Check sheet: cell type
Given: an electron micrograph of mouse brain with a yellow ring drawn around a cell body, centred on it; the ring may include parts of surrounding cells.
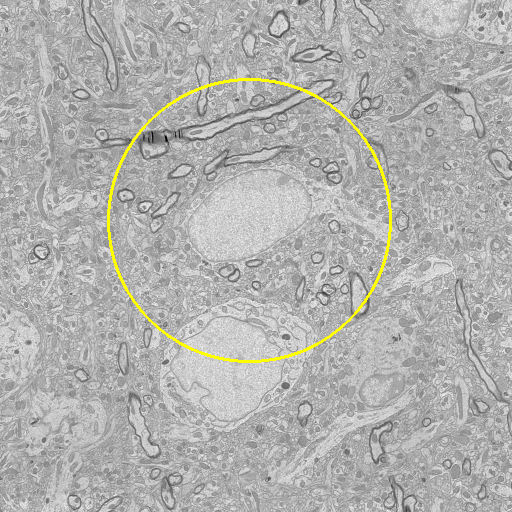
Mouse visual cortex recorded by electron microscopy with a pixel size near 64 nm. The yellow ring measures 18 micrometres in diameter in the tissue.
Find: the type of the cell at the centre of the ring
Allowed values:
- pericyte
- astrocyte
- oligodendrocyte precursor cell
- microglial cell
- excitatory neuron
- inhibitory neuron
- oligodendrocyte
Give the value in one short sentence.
Here the ringed cell is an astrocyte.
